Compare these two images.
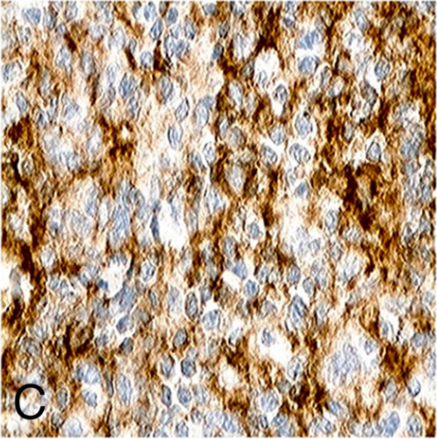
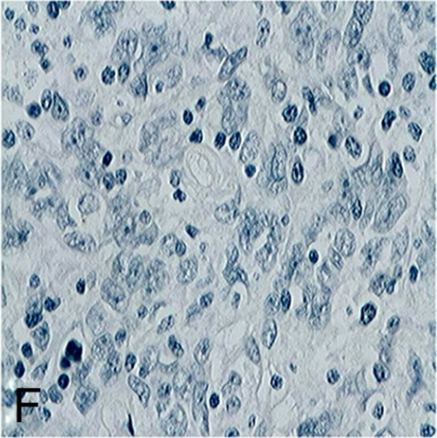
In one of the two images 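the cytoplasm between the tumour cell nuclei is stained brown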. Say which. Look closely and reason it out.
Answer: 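Second image: no brown stain, only blue nuclei and pale cytoplasm. First image: dense brown stain fills the spaces between the blue nuclei. The answer: the first image.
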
